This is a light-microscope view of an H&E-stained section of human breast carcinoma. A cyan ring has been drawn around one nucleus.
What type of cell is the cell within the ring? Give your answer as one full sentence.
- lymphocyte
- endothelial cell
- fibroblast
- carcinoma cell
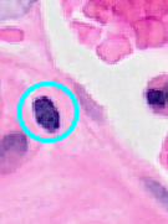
In this preparation, the cell within the ring is a lymphocyte.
